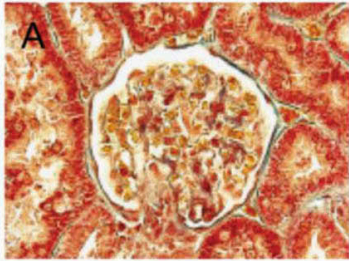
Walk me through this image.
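A renal glomerulus with its capsule and capillary tuft sits in the cortex, surrounded by tubules. A wide clear space lies between the tuft and the thin capsule. Around it, tubules with red cytoplasm are separated by fine blue-green interstitial lines.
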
